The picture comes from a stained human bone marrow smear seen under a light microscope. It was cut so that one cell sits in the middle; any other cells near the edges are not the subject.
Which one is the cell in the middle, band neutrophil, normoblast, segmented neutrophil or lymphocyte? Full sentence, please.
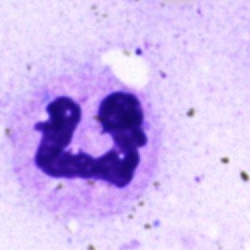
The centered cell in this crop is a segmented neutrophil.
